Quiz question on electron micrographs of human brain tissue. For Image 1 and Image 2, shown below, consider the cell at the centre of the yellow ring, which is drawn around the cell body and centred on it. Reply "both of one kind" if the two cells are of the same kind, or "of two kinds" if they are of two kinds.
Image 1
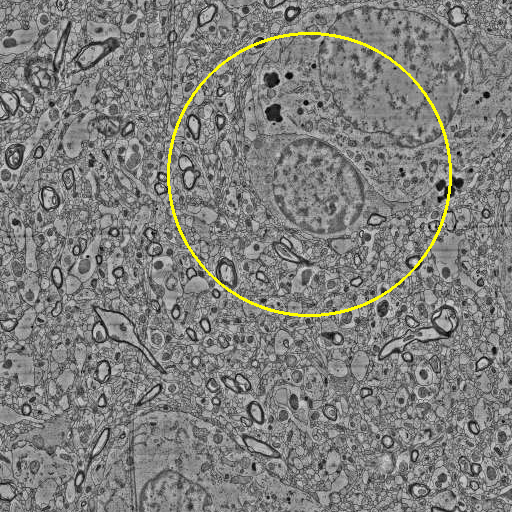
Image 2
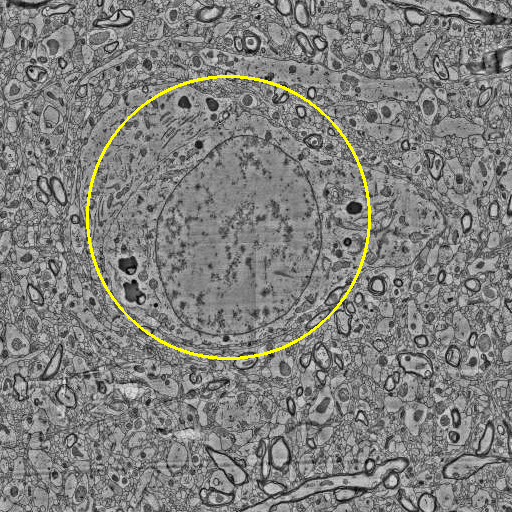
of two kinds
